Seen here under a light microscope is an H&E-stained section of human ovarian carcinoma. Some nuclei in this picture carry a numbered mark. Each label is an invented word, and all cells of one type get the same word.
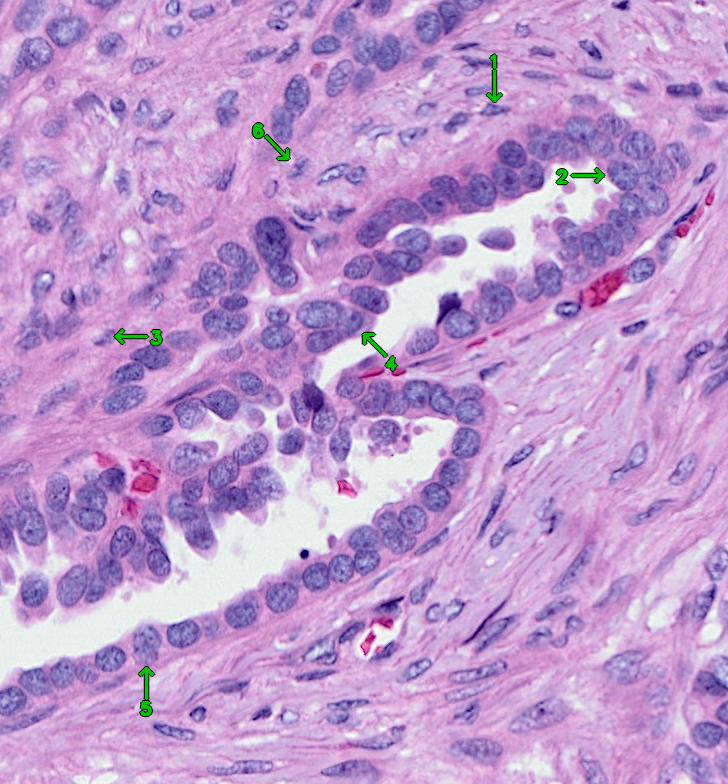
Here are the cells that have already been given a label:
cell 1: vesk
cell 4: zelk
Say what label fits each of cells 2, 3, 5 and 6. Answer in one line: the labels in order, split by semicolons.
zelk; vesk; zelk; vesk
